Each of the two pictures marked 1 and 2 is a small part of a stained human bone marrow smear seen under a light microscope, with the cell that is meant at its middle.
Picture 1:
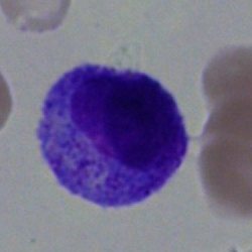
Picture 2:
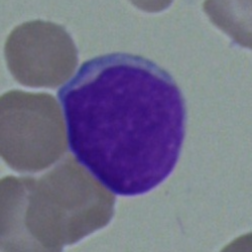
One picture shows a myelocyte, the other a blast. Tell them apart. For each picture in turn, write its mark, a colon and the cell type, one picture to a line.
1: myelocyte
2: blast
